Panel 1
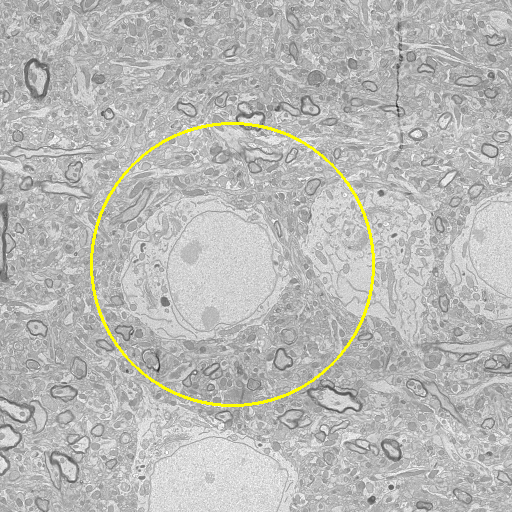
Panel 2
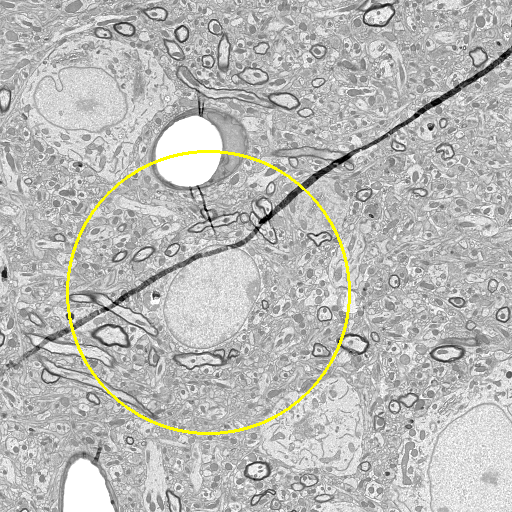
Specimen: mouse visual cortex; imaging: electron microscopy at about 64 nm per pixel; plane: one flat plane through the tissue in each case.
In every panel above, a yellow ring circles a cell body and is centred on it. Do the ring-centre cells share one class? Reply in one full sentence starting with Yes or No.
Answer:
No, the two cells at the ring centres in the panels belong to two classes.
